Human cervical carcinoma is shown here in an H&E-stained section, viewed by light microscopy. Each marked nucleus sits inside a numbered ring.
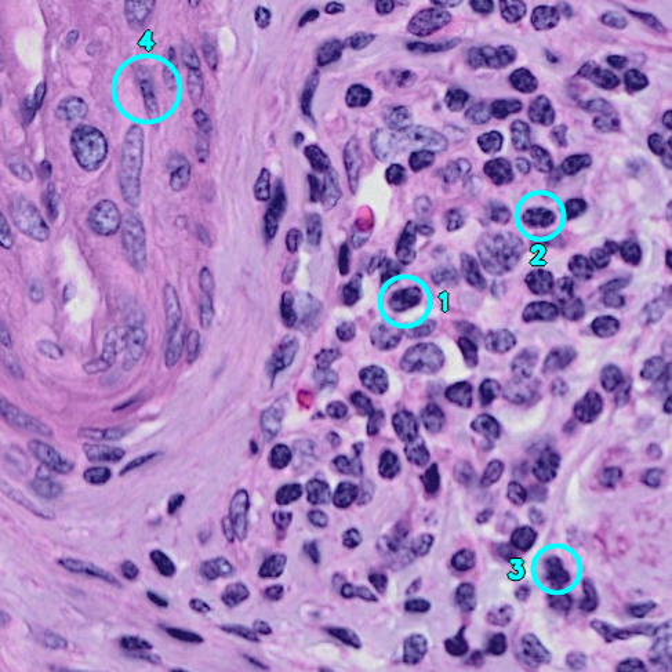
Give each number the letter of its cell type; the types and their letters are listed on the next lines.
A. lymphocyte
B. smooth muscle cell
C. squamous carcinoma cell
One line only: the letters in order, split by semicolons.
A; A; A; B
